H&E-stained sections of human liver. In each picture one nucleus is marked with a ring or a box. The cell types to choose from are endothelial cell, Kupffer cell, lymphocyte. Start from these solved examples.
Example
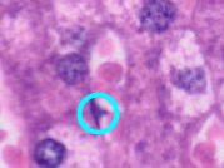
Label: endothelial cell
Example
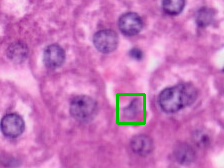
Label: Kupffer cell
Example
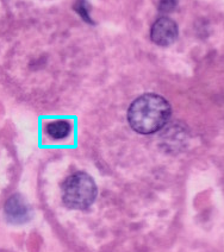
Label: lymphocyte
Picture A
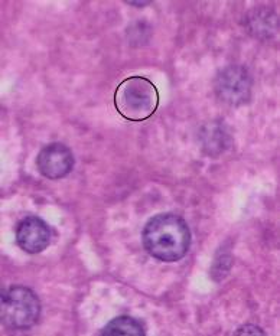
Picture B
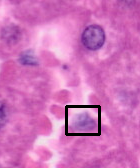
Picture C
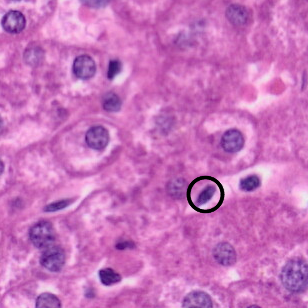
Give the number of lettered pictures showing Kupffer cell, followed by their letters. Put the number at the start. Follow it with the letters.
2: A, B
